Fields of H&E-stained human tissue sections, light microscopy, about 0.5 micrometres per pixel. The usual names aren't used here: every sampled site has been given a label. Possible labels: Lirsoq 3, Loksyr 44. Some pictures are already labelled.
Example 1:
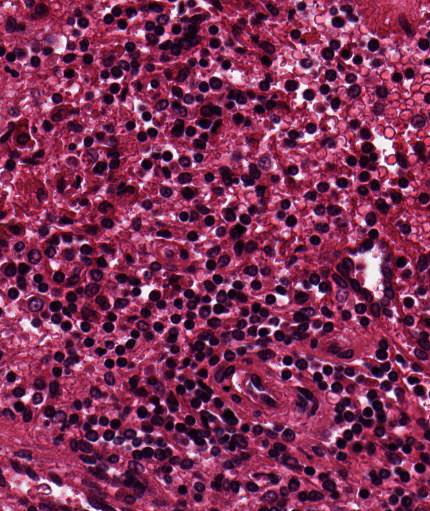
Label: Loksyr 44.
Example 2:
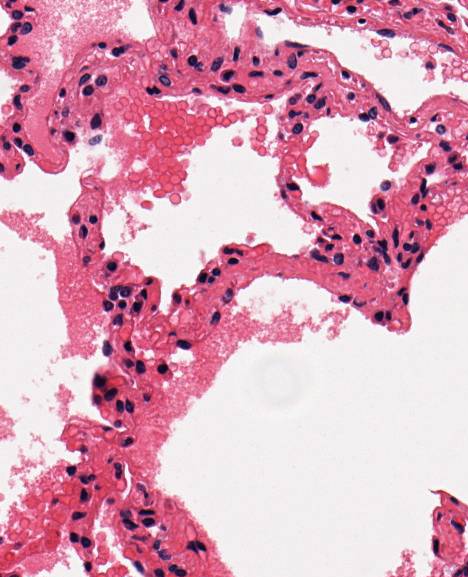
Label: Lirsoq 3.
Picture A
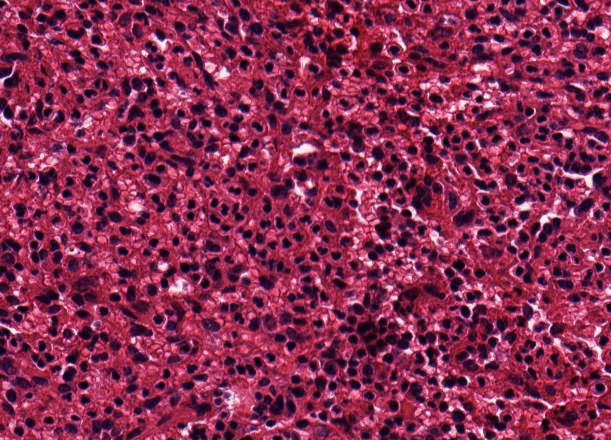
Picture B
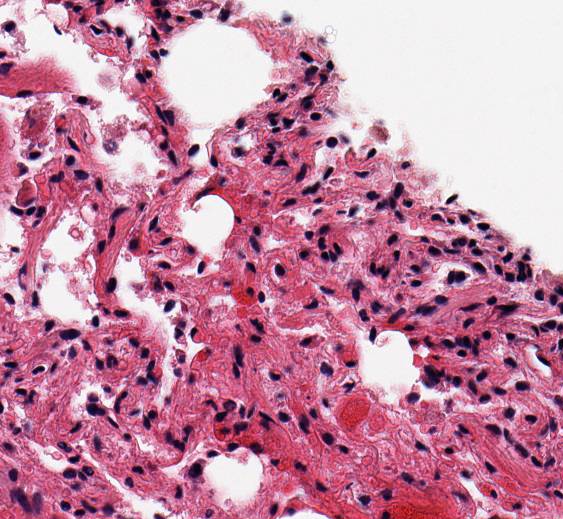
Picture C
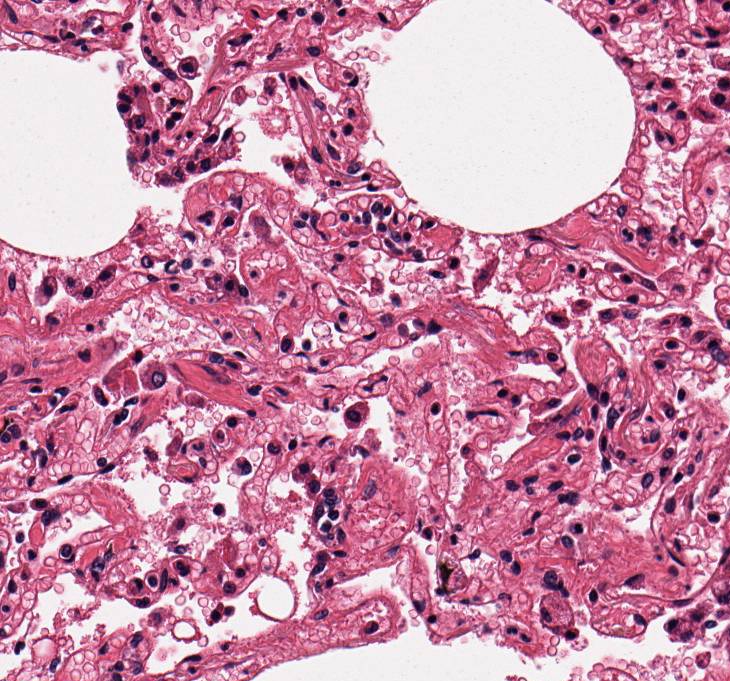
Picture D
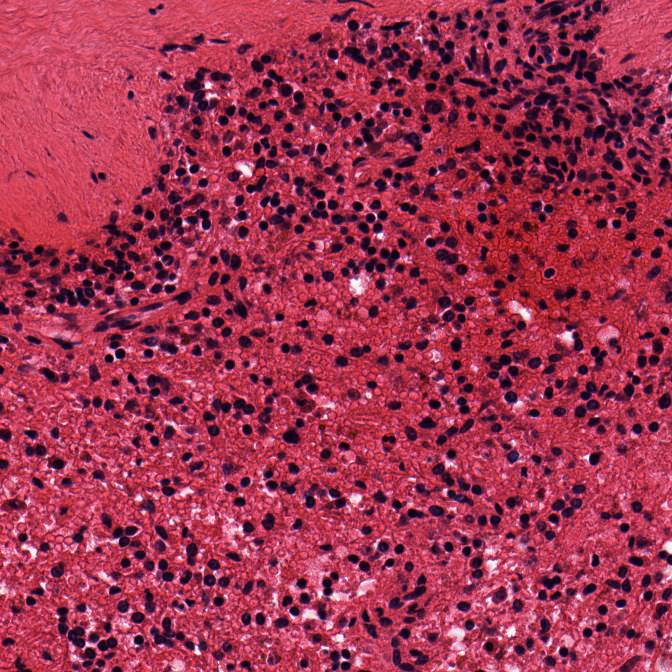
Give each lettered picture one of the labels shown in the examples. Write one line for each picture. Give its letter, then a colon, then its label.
A: Loksyr 44.
B: Lirsoq 3.
C: Lirsoq 3.
D: Loksyr 44.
